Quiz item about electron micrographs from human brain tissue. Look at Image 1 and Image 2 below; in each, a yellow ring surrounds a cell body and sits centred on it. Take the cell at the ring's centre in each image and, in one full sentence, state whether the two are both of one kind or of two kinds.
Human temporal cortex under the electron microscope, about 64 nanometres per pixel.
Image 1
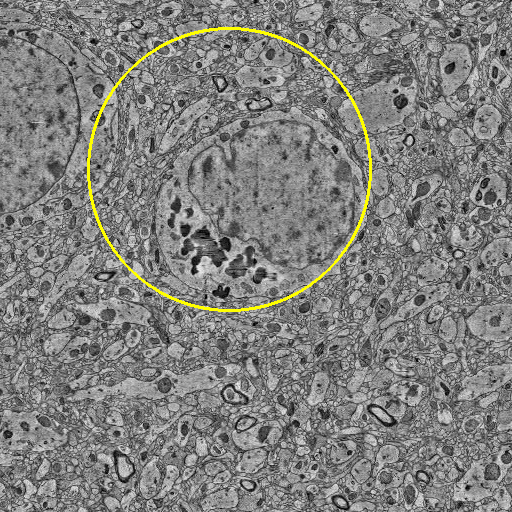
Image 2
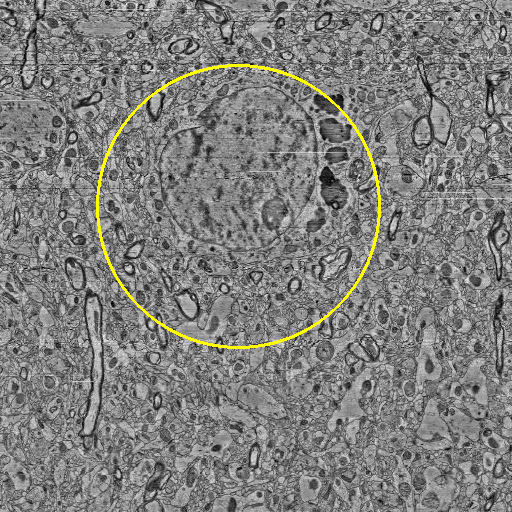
In Image 1 and Image 2, the cells at the ring centres are both of one kind.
